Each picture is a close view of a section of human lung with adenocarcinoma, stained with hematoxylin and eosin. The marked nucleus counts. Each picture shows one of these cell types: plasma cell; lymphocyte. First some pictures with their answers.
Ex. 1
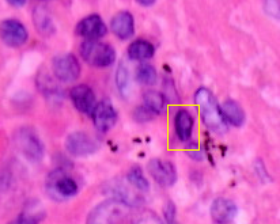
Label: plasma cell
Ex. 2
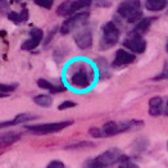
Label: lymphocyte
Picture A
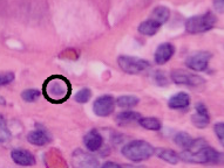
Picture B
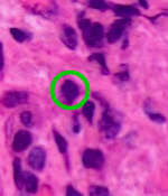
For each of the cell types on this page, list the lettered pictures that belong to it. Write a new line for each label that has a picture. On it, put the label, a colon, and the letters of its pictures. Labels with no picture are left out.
plasma cell: B
lymphocyte: A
